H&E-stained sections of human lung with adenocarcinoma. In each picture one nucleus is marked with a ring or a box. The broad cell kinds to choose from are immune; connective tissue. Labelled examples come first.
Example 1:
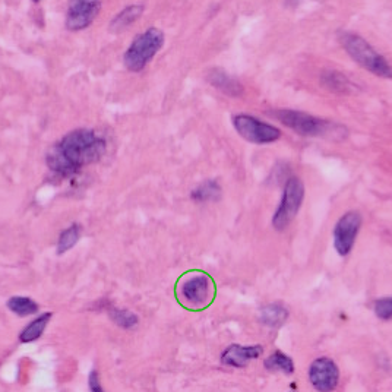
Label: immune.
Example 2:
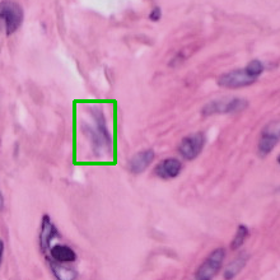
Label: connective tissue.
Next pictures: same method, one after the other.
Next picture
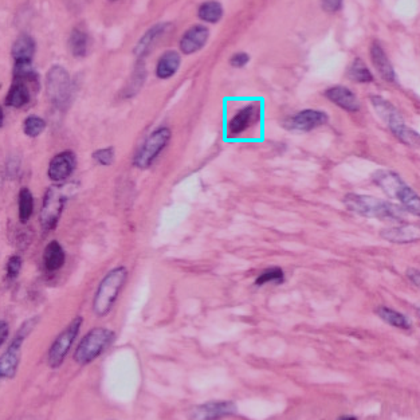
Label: immune.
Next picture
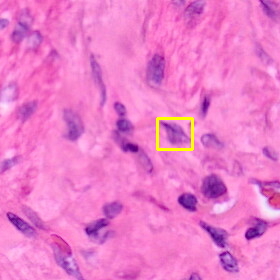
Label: connective tissue.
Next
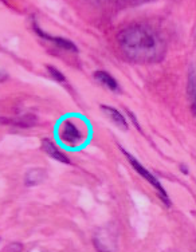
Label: immune.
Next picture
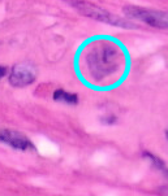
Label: connective tissue.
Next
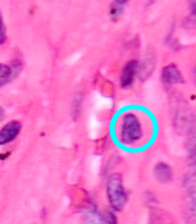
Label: immune.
